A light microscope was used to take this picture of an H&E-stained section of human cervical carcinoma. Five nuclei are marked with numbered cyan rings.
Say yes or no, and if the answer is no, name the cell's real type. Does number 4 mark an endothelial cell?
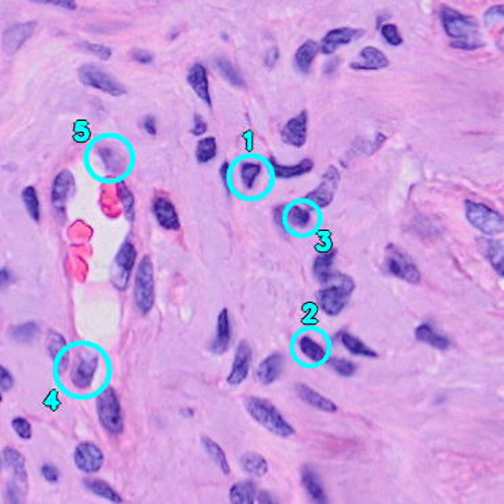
Yes.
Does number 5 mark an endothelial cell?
Yes.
